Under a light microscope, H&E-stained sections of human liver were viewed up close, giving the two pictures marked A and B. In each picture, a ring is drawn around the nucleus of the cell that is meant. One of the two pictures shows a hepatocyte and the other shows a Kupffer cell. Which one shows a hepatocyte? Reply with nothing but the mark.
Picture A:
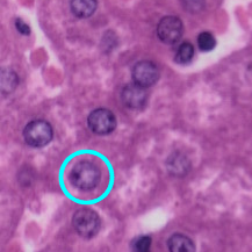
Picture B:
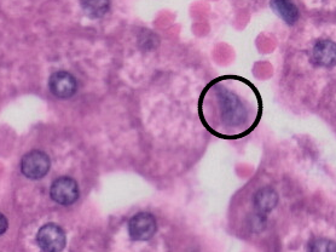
A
